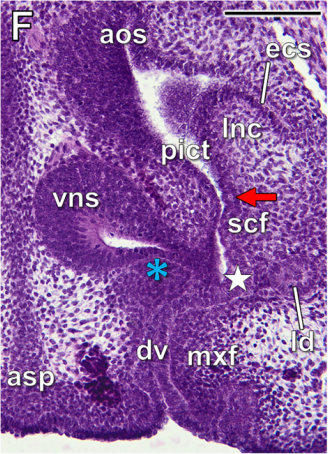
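The vomeronasal sensory epithelium forms a thick, curved, cup-shaped layer of densely packed nuclei arranged in many rows around a narrow lumen. Beside it, thinner epithelia line slit-like spaces of the nasal cavity, whose lumina appear pale and empty. A fold of tissue projects between these spaces, and below them the palatal surface bulges as rounded folds. Around the epithelia lies loose mesenchyme with scattered, evenly spaced nuclei and paler matrix, with small darker cell clusters in places.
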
